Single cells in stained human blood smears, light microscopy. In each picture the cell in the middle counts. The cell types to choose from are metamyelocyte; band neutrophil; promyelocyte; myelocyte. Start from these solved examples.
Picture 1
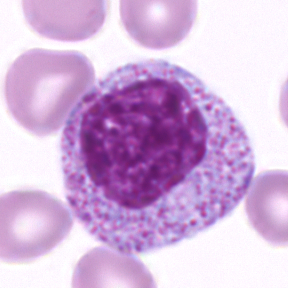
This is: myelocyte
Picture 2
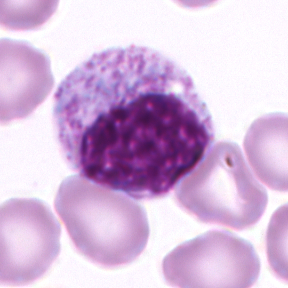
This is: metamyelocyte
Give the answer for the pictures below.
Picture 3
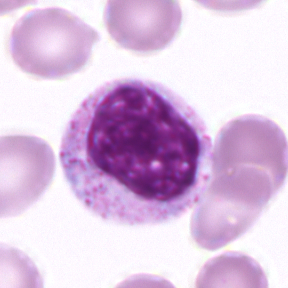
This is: metamyelocyte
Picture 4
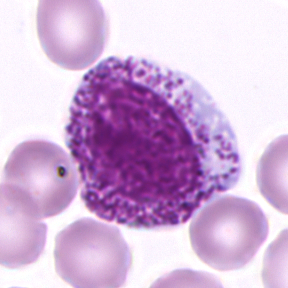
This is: myelocyte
